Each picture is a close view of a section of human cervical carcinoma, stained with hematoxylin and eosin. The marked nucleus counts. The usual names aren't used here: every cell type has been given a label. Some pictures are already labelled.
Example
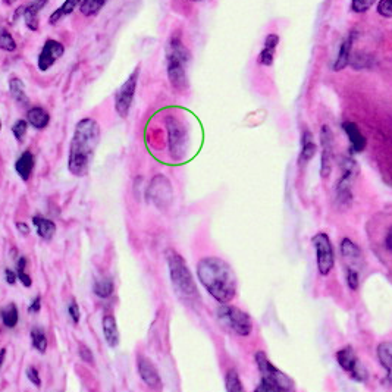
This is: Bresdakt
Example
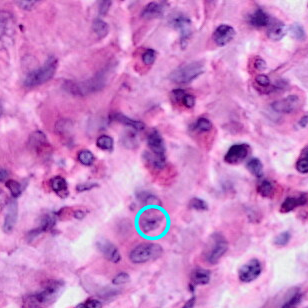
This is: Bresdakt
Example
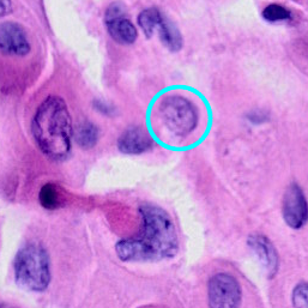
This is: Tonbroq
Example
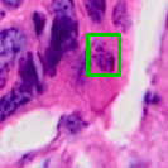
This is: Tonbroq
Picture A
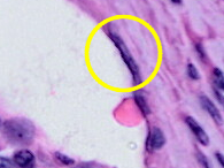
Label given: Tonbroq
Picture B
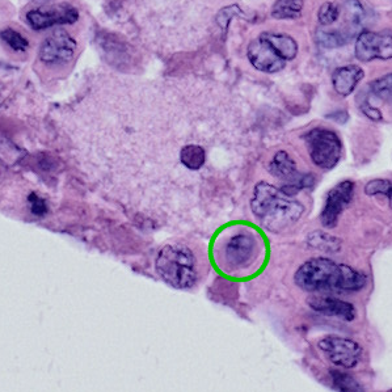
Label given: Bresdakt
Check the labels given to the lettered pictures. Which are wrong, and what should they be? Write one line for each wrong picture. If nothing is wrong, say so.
A: not Tonbroq but Bresdakt
B: not Bresdakt but Tonbroq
